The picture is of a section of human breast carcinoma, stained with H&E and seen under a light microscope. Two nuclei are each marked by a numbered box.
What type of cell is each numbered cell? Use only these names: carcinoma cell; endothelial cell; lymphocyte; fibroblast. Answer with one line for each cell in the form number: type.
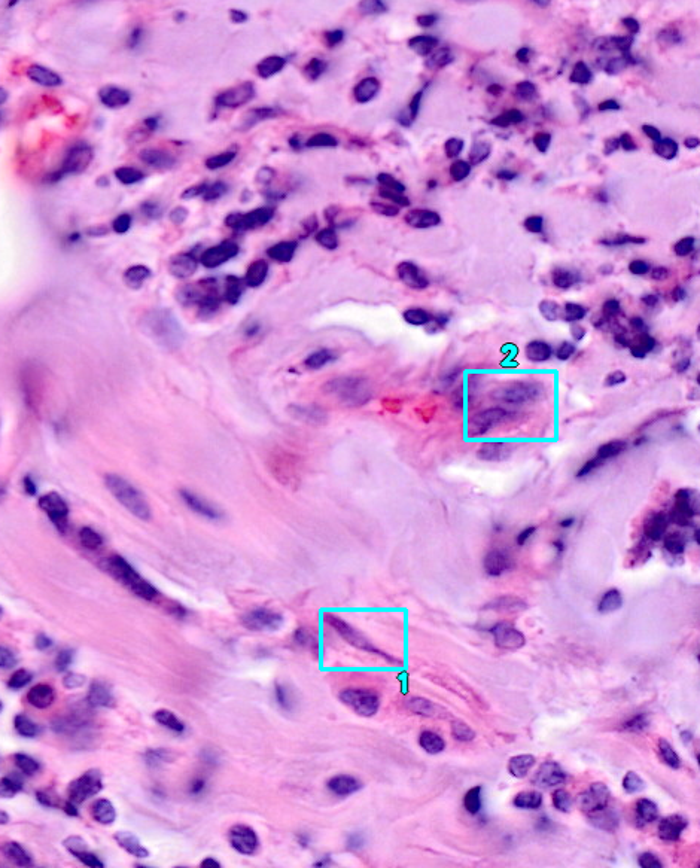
1: fibroblast
2: endothelial cell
